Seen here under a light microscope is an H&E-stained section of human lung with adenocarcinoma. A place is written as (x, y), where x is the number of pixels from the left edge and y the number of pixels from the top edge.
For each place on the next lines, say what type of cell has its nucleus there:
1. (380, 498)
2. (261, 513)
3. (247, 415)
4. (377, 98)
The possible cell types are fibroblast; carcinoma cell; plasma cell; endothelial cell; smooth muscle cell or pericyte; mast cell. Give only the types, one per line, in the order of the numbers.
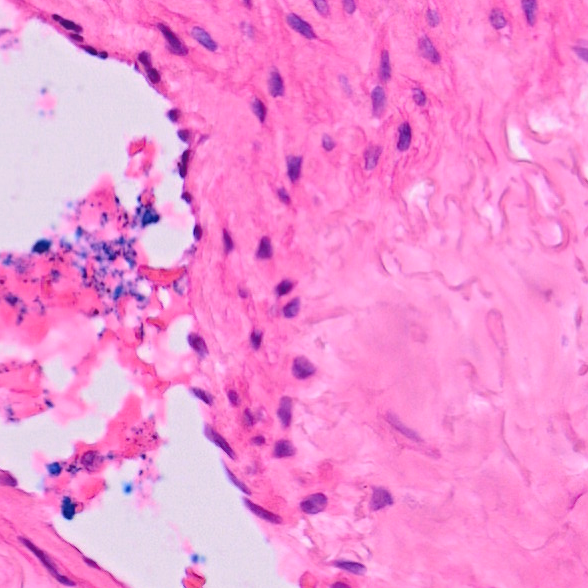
fibroblast
endothelial cell
smooth muscle cell or pericyte
smooth muscle cell or pericyte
